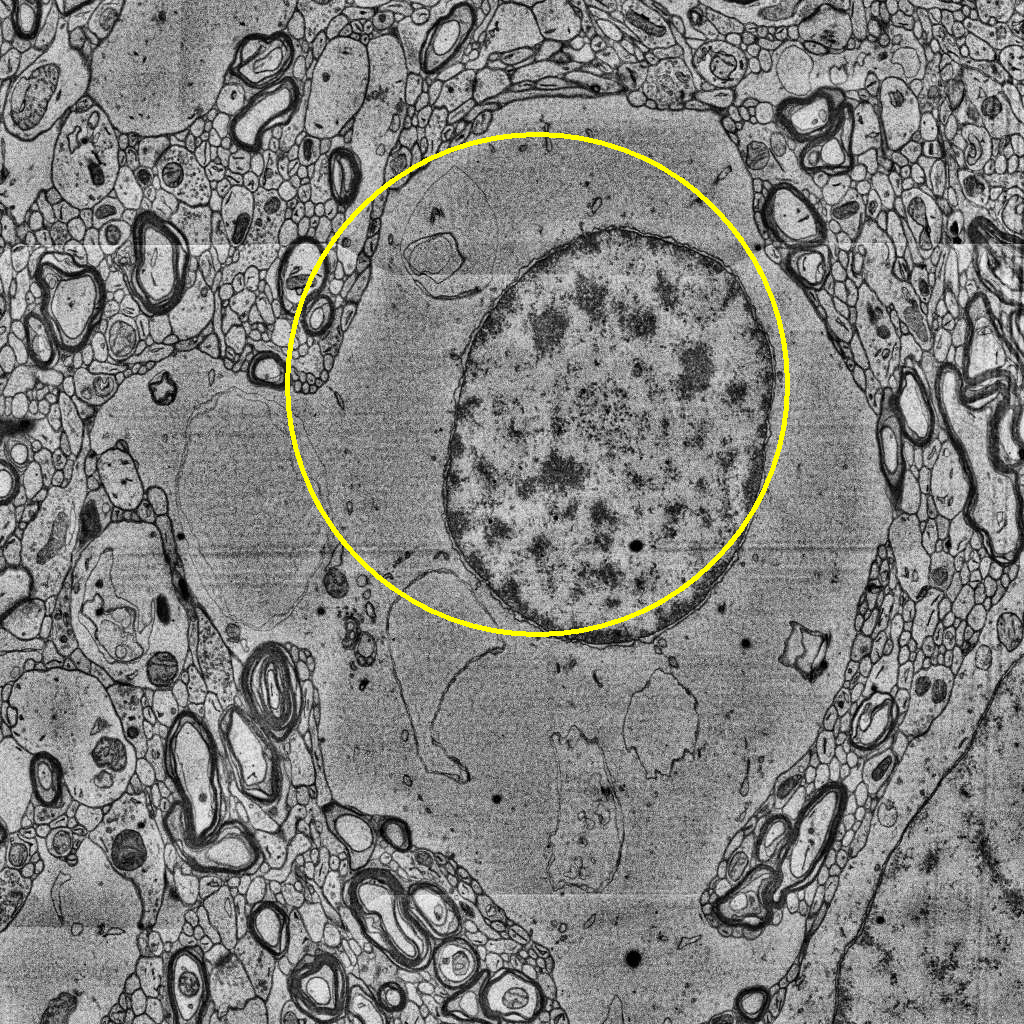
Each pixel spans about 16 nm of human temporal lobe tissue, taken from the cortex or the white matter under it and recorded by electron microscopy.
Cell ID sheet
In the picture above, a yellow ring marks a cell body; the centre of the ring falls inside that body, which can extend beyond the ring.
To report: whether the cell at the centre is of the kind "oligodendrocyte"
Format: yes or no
no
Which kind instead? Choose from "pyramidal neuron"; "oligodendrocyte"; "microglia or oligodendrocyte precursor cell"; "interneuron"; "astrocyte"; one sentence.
The cell enclosed by the ring is an astrocyte.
